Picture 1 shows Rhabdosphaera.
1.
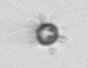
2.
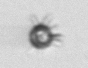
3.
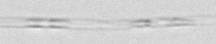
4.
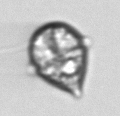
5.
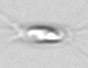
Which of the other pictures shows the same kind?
Picture 2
